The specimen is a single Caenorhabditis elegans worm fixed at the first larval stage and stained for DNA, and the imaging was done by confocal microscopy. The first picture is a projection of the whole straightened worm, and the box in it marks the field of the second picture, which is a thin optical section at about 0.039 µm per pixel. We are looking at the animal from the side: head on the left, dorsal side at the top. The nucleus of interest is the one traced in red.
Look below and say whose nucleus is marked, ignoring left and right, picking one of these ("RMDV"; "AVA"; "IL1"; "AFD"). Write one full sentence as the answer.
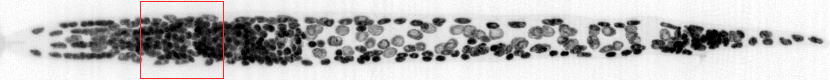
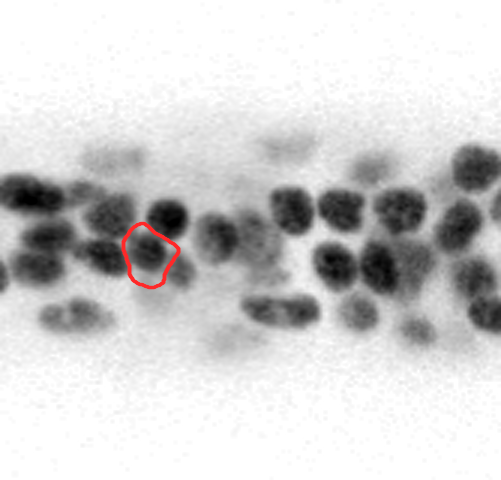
The nucleus is from IL1, a neuron.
